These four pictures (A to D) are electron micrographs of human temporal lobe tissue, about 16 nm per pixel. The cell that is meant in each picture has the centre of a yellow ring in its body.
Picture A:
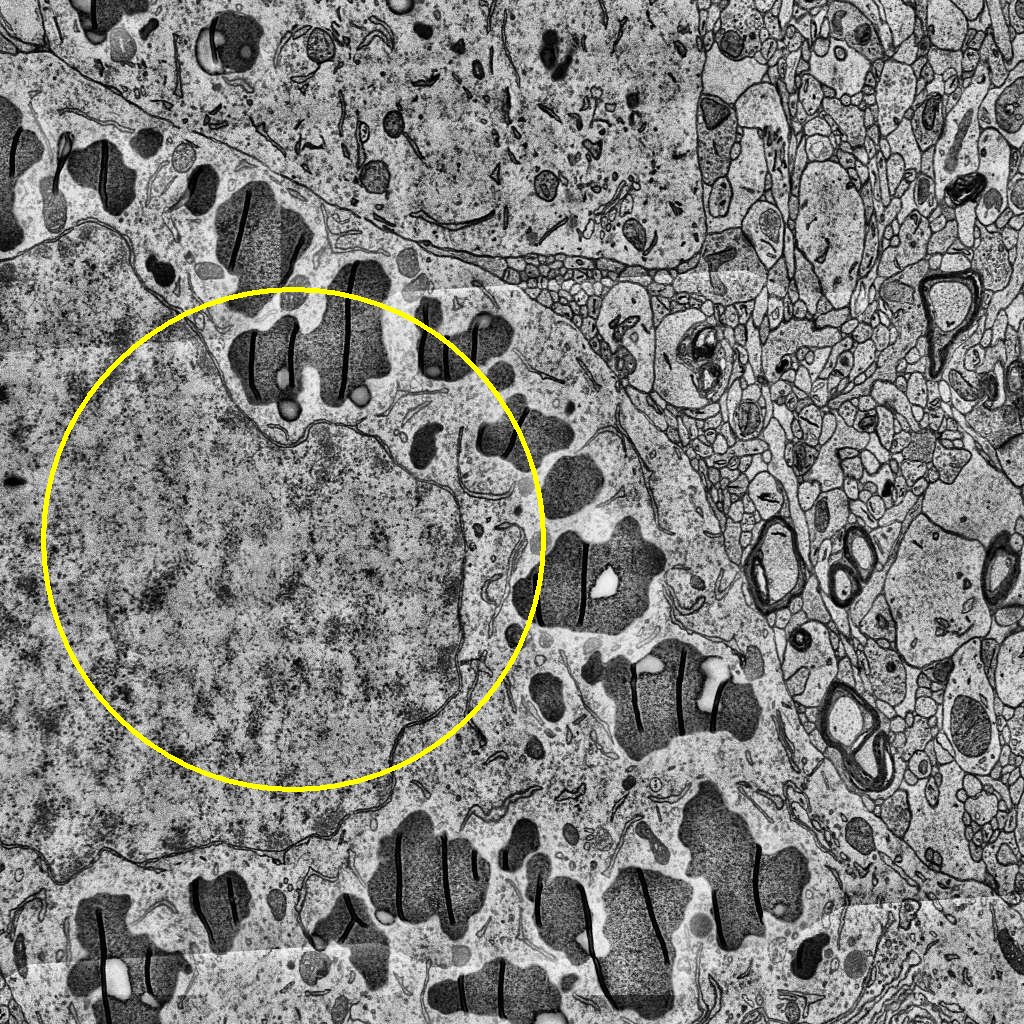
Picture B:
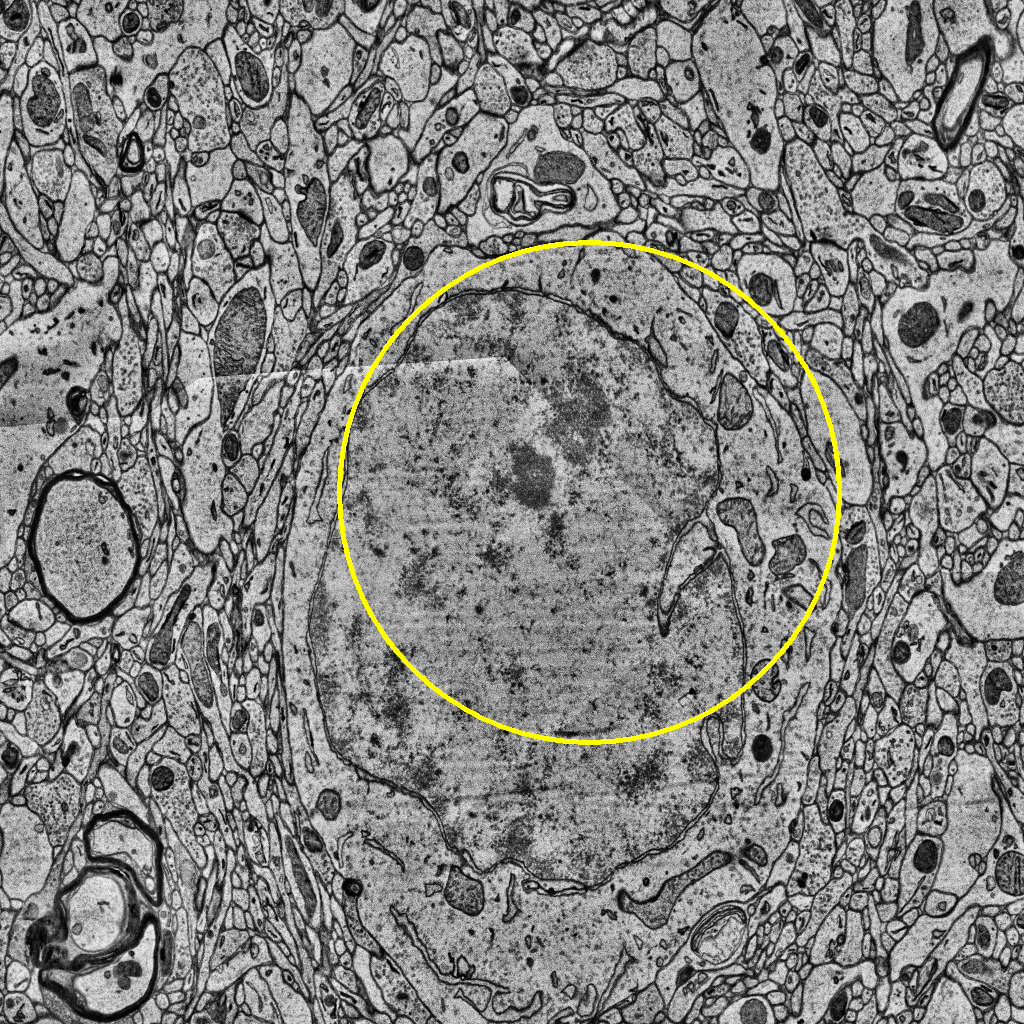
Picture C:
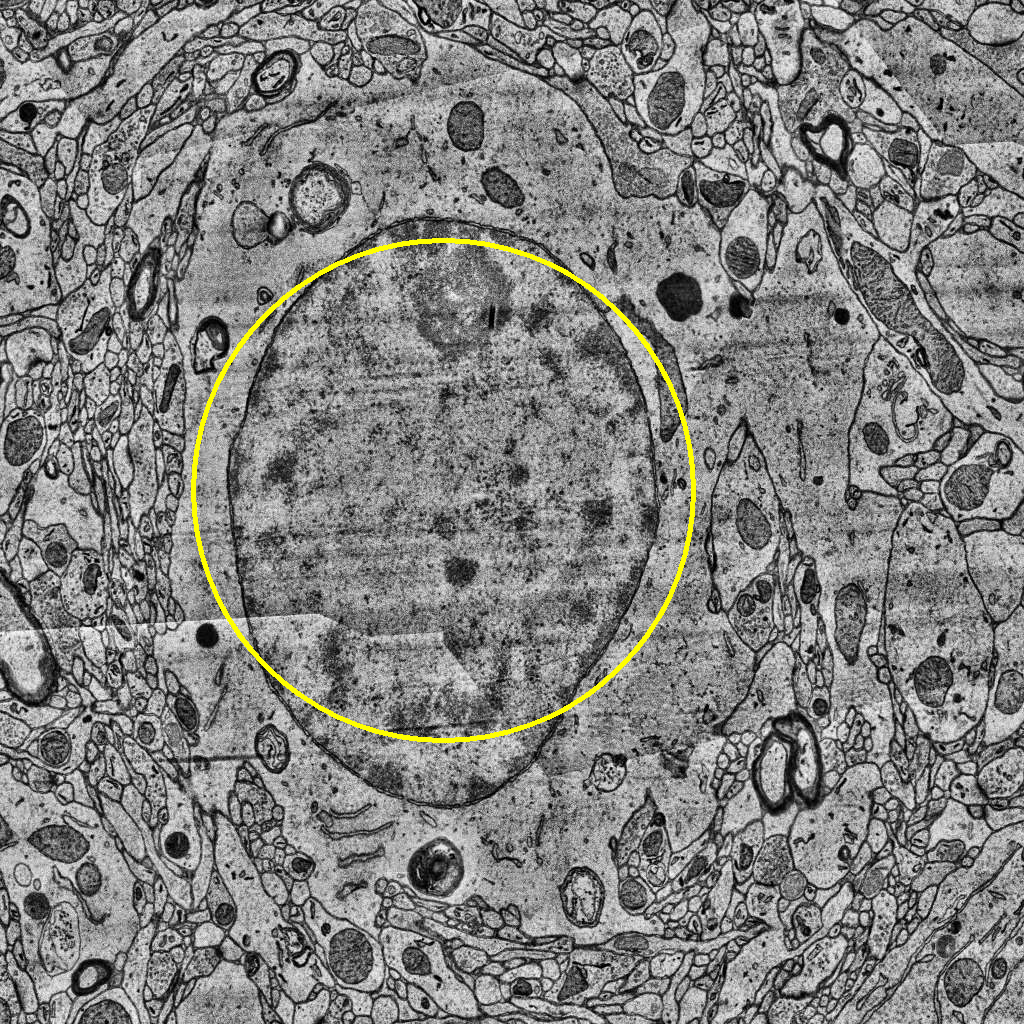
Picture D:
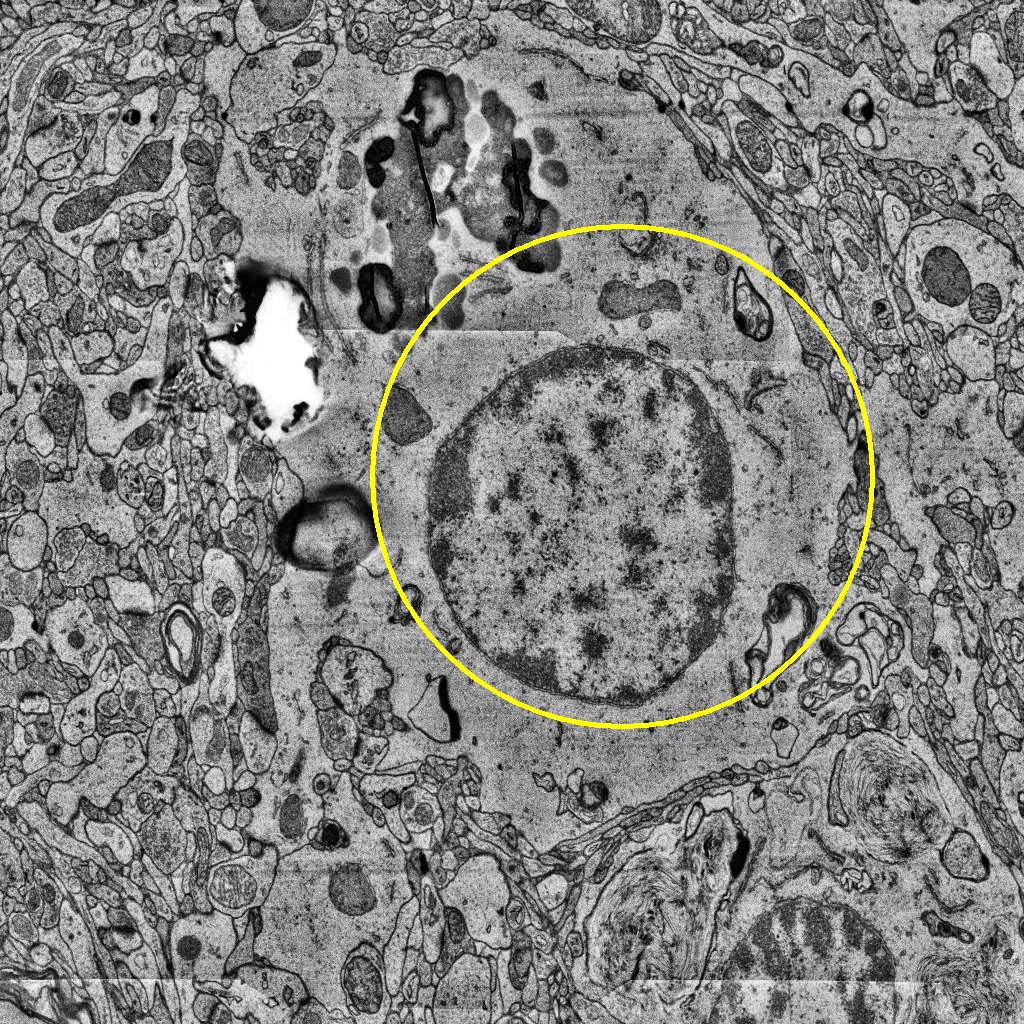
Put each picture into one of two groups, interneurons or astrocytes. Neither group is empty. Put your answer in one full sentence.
Pictures A and B show interneurons; pictures C and D show astrocytes.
